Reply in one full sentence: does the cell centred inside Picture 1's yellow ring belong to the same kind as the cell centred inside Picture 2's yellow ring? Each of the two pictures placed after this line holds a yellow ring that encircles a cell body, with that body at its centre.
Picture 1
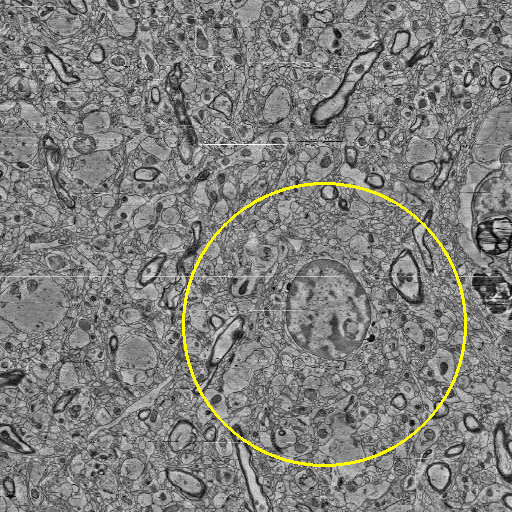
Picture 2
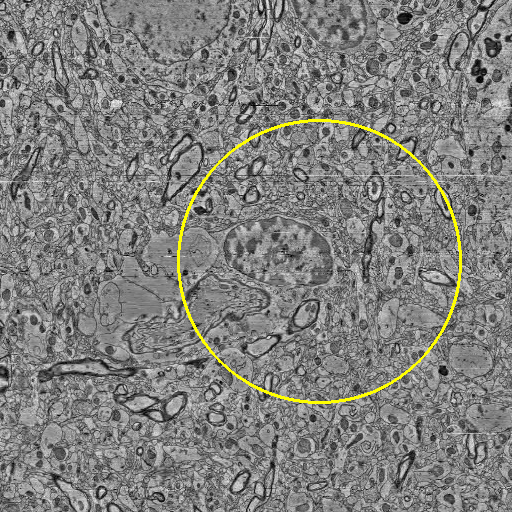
Yes, the ring-centred cells in Picture 1 and Picture 2 are of one and the same kind.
